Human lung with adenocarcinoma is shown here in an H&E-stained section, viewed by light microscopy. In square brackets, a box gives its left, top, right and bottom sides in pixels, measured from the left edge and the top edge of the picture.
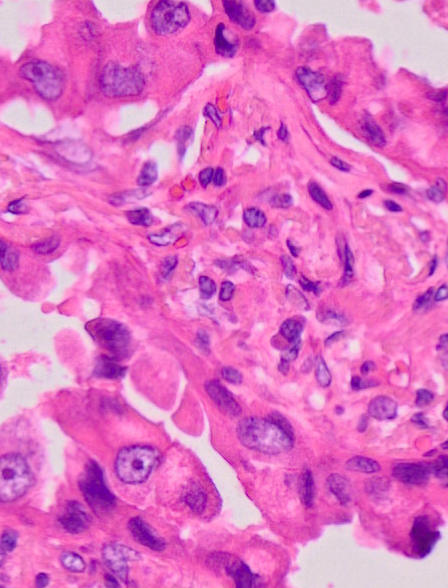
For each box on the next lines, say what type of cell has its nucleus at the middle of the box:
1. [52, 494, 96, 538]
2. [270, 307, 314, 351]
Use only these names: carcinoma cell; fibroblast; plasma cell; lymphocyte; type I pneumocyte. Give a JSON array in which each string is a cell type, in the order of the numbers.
["carcinoma cell", "plasma cell"]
